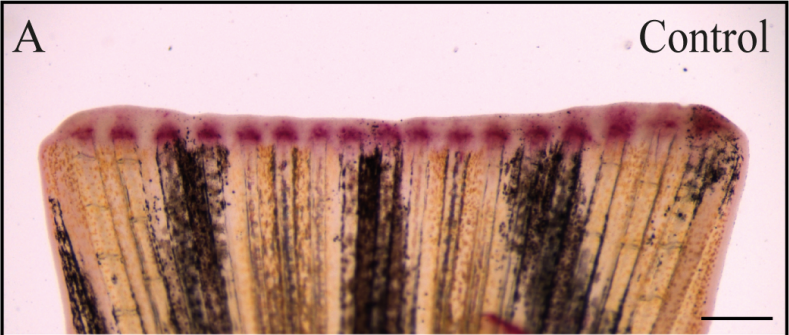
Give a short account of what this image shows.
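This is a whole-mount view of the distal caudal fin at the cut edge, with its bony rays running in parallel from bottom to top. The rays are segmented by fine cross-lines, and dark pigment cells cluster in broad stripes over some rays while small yellowish-brown pigment dots are scattered over the rest. Along the cut edge, each ray ends in a spot of purple-magenta stain, so that the spots form a regular row across the fin. A thin pale rim of soft tissue lies beyond the stained ray ends.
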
